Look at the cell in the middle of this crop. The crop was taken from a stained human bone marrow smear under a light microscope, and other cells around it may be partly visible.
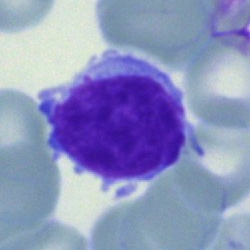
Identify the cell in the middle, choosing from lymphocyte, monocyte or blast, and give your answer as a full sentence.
As for the central cell, it is a lymphocyte.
